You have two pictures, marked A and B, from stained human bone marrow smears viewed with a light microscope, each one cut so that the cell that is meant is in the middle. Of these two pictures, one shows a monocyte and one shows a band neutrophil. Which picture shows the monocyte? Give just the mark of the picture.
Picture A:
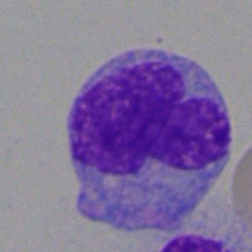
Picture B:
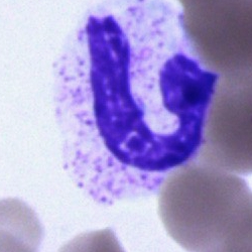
A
